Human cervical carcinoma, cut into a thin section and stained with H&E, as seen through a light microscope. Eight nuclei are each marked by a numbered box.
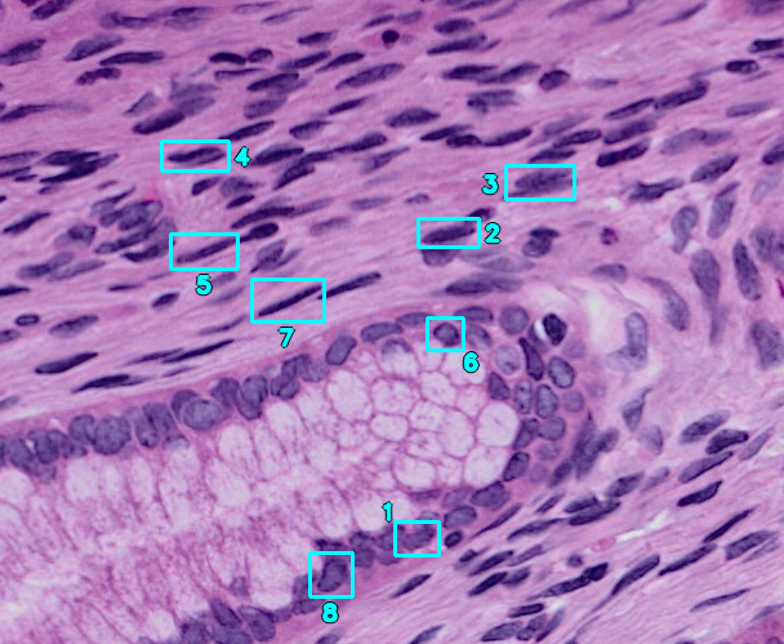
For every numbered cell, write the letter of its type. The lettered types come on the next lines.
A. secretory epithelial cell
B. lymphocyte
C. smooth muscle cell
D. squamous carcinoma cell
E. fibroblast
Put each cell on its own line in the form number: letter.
1: A
2: E
3: E
4: E
5: E
6: A
7: E
8: A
